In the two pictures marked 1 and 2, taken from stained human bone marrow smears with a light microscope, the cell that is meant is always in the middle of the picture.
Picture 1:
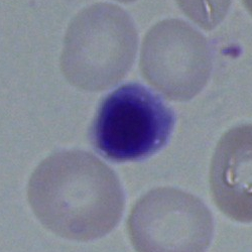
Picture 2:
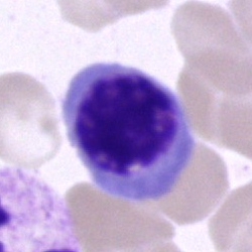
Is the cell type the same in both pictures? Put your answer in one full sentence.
Yes; the cells in both pictures are erythroblasts.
